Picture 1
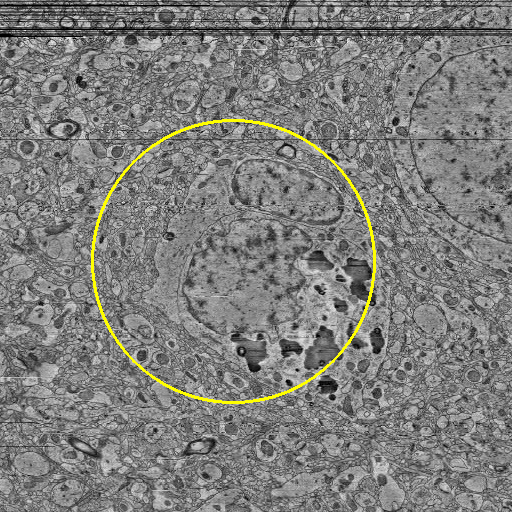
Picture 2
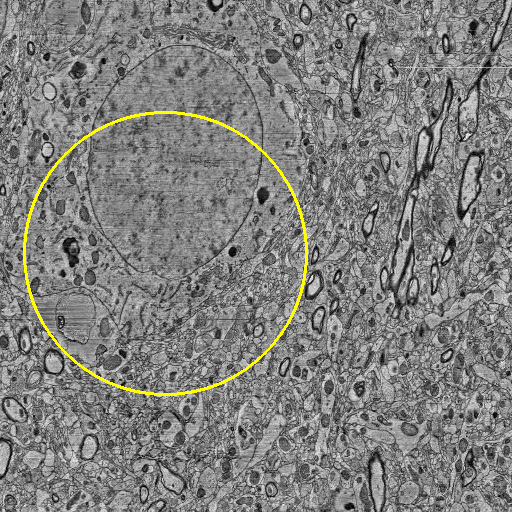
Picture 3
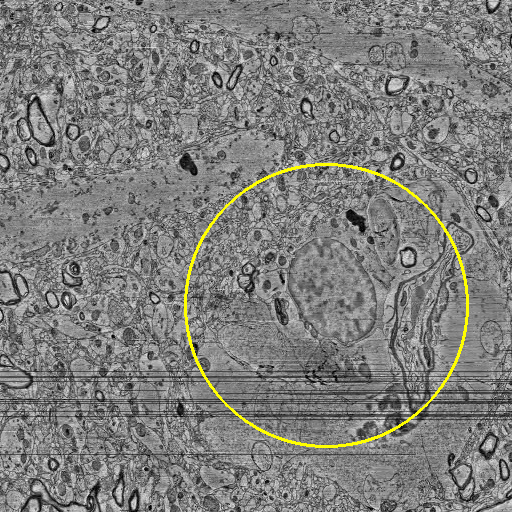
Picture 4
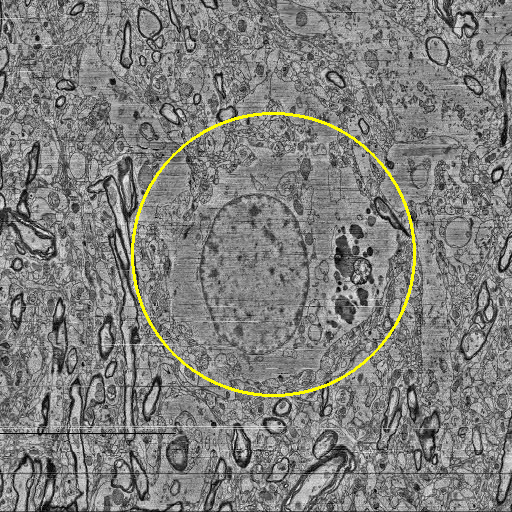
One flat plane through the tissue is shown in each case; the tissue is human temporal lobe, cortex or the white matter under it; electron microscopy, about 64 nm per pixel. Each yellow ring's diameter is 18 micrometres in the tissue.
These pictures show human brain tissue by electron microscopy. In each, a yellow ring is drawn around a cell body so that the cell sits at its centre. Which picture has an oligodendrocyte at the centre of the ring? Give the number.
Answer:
3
